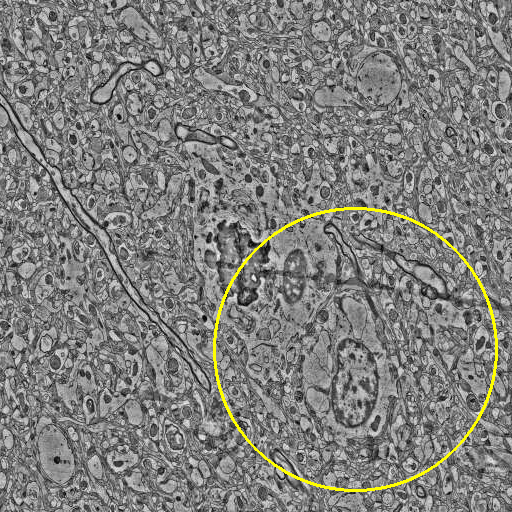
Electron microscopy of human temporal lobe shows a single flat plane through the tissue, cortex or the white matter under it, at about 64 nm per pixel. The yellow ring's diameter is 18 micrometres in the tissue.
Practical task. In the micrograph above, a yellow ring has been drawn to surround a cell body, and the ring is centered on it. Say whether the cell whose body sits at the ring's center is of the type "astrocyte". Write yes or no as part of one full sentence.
Yes, the cell at the center of the ring above is of the type asked about.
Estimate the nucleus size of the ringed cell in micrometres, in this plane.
The ringed cell's nucleus measures approximately 5 by 3 micrometres in this plane.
